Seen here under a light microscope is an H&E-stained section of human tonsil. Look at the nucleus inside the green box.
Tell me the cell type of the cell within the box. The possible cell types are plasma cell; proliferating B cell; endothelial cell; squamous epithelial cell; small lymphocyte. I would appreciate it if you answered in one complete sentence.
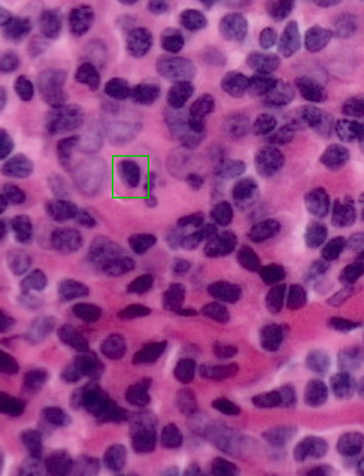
Placed in its cell category, the cell within the box is an endothelial cell.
